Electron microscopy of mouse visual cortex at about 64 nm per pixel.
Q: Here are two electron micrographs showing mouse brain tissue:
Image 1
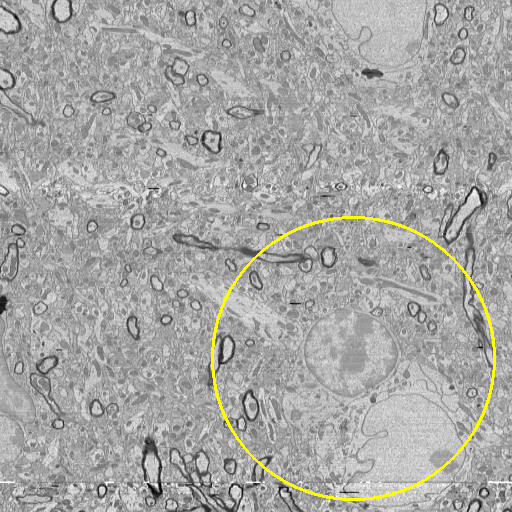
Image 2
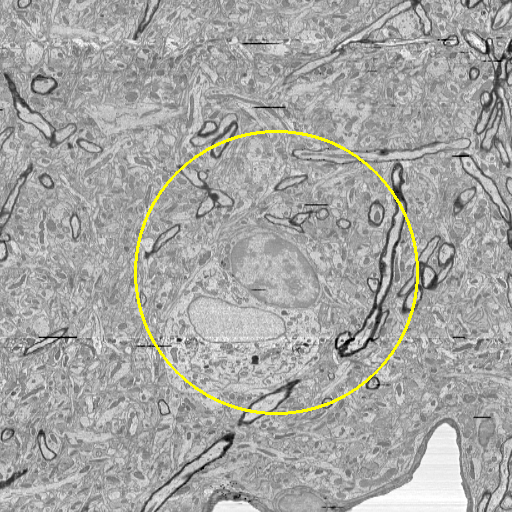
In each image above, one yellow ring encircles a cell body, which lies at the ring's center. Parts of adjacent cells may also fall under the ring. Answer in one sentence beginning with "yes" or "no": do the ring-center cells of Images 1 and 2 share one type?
Yes, in Images 1 and 2, the ring-center cells are both of one type.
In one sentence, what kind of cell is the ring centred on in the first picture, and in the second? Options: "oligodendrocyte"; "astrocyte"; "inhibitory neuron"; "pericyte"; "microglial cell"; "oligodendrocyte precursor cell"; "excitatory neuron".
The first and the second cell are each an oligodendrocyte.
